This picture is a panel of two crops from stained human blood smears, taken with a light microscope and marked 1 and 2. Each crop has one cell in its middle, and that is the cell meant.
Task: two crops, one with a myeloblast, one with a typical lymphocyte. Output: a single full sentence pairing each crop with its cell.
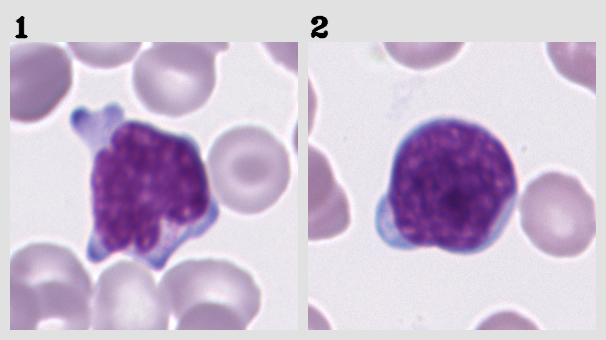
Whereas crop 1 contains a typical lymphocyte, crop 2 contains a myeloblast.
